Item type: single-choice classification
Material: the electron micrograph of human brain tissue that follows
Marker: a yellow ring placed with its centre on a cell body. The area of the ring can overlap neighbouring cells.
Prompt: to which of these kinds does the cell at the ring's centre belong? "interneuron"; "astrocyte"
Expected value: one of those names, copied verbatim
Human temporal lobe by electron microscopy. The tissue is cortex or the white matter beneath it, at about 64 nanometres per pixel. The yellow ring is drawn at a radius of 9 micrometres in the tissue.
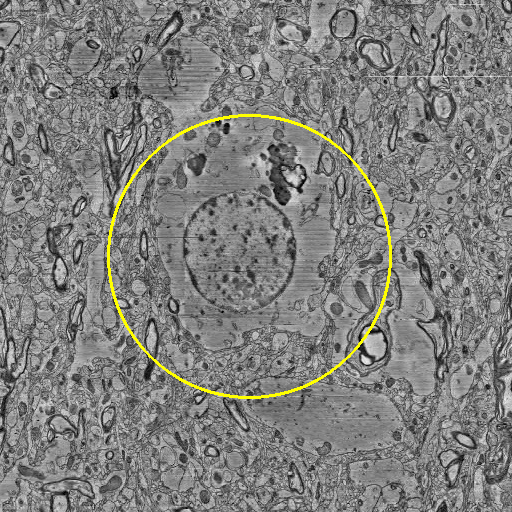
astrocyte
